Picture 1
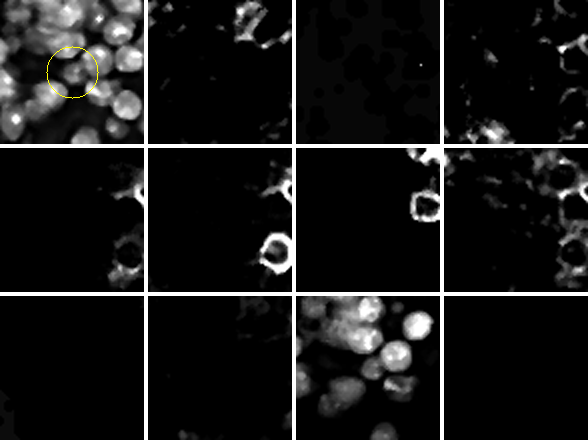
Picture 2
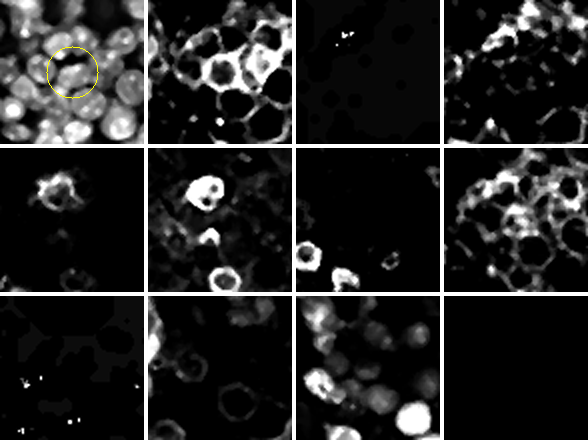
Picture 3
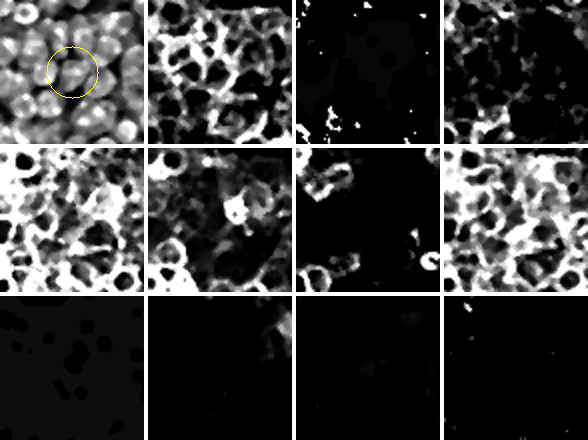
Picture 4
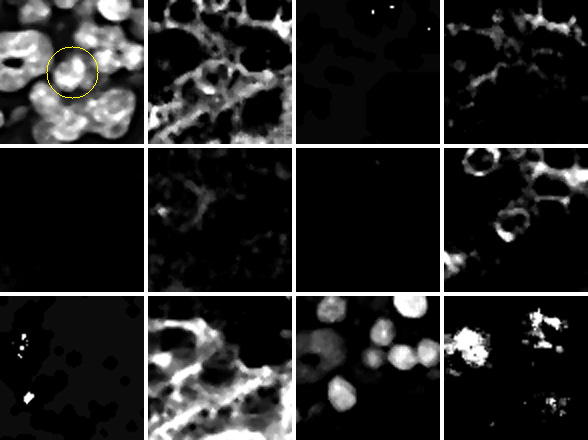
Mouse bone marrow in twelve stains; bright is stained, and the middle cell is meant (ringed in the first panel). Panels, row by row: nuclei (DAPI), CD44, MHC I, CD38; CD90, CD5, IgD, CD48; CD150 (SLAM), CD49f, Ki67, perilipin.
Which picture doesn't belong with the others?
Picture 1.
